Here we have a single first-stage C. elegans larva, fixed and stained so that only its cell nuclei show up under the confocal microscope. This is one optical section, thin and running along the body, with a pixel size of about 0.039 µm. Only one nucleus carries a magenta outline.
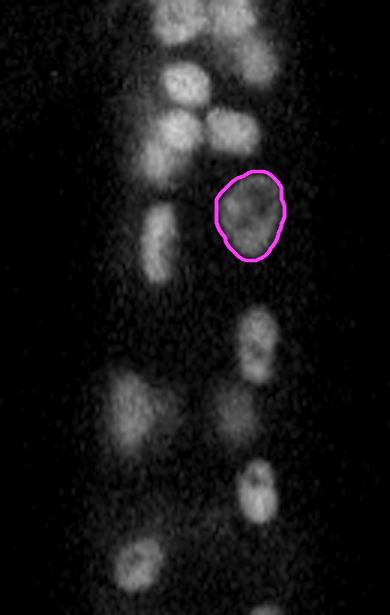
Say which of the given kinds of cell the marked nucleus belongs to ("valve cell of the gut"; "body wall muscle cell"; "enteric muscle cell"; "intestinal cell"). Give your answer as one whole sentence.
The cell with the marked nucleus is an intestinal cell.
